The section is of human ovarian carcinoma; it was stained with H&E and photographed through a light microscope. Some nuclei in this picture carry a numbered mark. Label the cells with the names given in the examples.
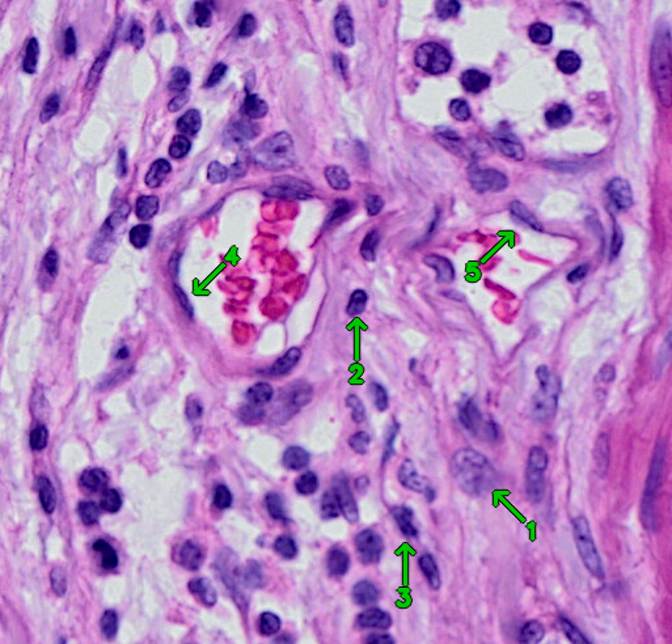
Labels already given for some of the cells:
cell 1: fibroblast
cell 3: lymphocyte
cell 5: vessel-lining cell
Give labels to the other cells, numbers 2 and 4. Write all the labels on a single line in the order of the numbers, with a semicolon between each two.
lymphocyte; vessel-lining cell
